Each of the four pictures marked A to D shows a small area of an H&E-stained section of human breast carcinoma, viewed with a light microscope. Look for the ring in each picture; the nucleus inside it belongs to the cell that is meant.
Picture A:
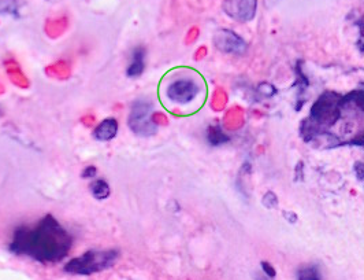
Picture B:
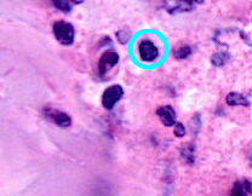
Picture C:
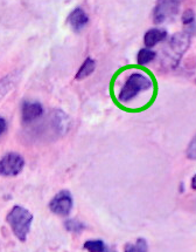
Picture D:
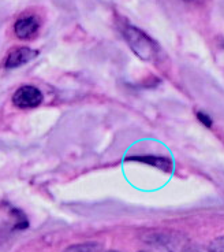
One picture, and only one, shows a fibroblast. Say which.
D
